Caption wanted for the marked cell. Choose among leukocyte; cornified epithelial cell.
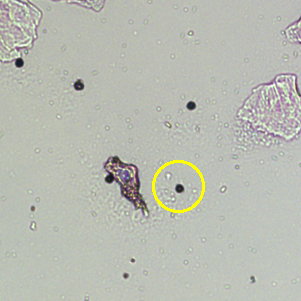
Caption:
Ringed in yellow is a leukocyte.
